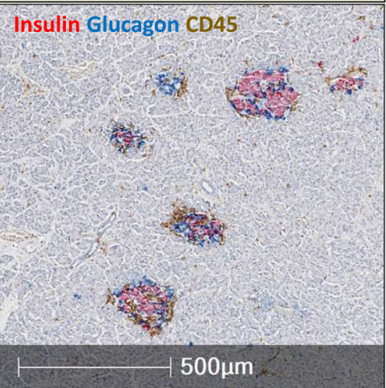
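Pancreas with several islets of Langerhans lying in exocrine acinar tissue, showing peri-insulitis and invasive insulitis. The islets vary in size; the largest holds many red-stained cells mixed with blue-stained cells, while some smaller islets are mostly blue with little red. Small brown-stained immune cells gather in clusters at the rims of the islets and reach in among the endocrine cells. The surrounding acinar tissue is pale with faint blue nuclei and few brown cells.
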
